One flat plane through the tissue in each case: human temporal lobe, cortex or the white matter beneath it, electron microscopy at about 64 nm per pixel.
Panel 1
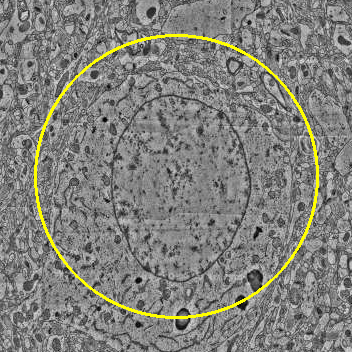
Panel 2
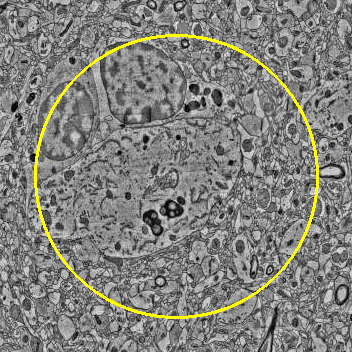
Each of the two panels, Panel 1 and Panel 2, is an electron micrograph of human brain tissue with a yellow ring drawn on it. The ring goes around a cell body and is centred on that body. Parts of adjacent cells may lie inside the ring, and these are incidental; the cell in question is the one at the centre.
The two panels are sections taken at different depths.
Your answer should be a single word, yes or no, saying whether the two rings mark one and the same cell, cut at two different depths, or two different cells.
no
